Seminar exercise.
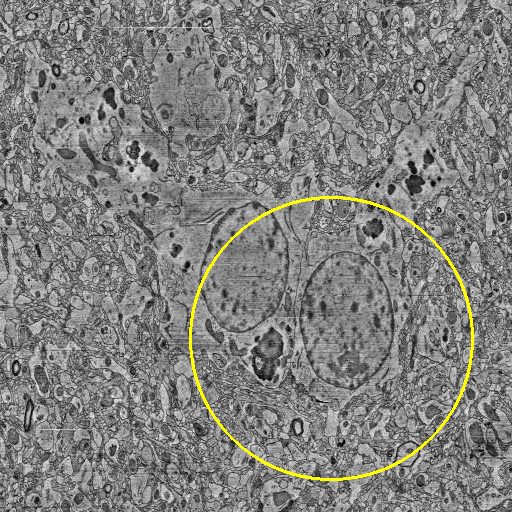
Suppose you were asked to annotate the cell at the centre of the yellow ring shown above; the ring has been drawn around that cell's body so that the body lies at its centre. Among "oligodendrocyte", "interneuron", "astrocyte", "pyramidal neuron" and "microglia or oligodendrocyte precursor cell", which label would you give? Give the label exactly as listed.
astrocyte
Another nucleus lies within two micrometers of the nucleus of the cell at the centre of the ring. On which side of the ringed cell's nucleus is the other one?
That other nucleus sits to the upper left of it.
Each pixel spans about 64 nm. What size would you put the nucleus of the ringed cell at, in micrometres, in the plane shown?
Clearly longer than it is wide in this plane, the nucleus measures roughly 9 by 6 micrometres.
